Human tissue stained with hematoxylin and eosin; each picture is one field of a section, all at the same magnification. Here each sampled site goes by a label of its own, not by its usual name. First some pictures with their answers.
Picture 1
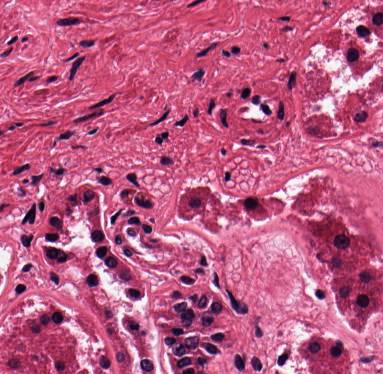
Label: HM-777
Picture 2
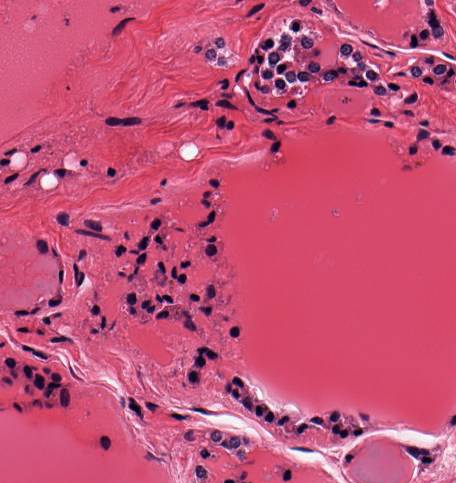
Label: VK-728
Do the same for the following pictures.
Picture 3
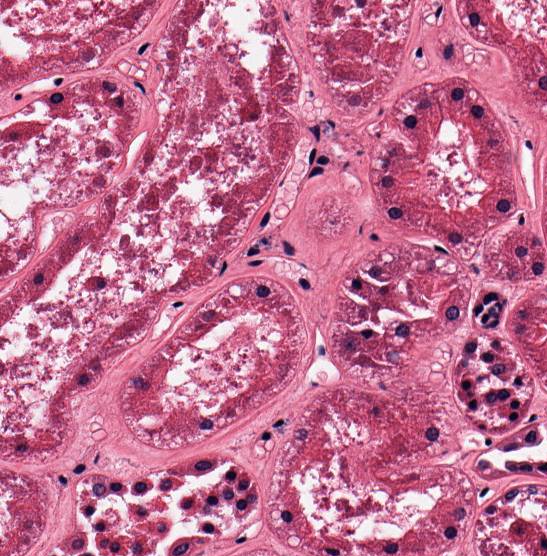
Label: HM-777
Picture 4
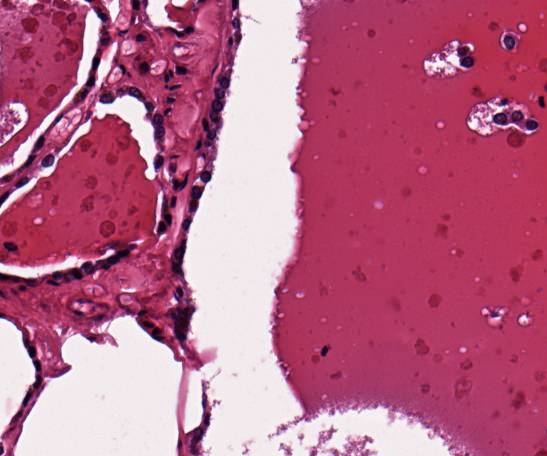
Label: VK-728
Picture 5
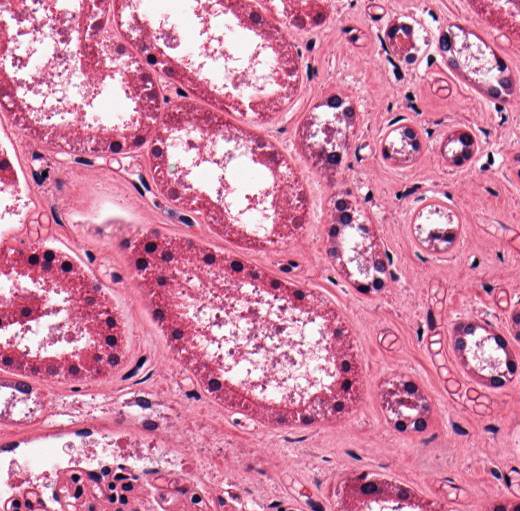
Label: HM-777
